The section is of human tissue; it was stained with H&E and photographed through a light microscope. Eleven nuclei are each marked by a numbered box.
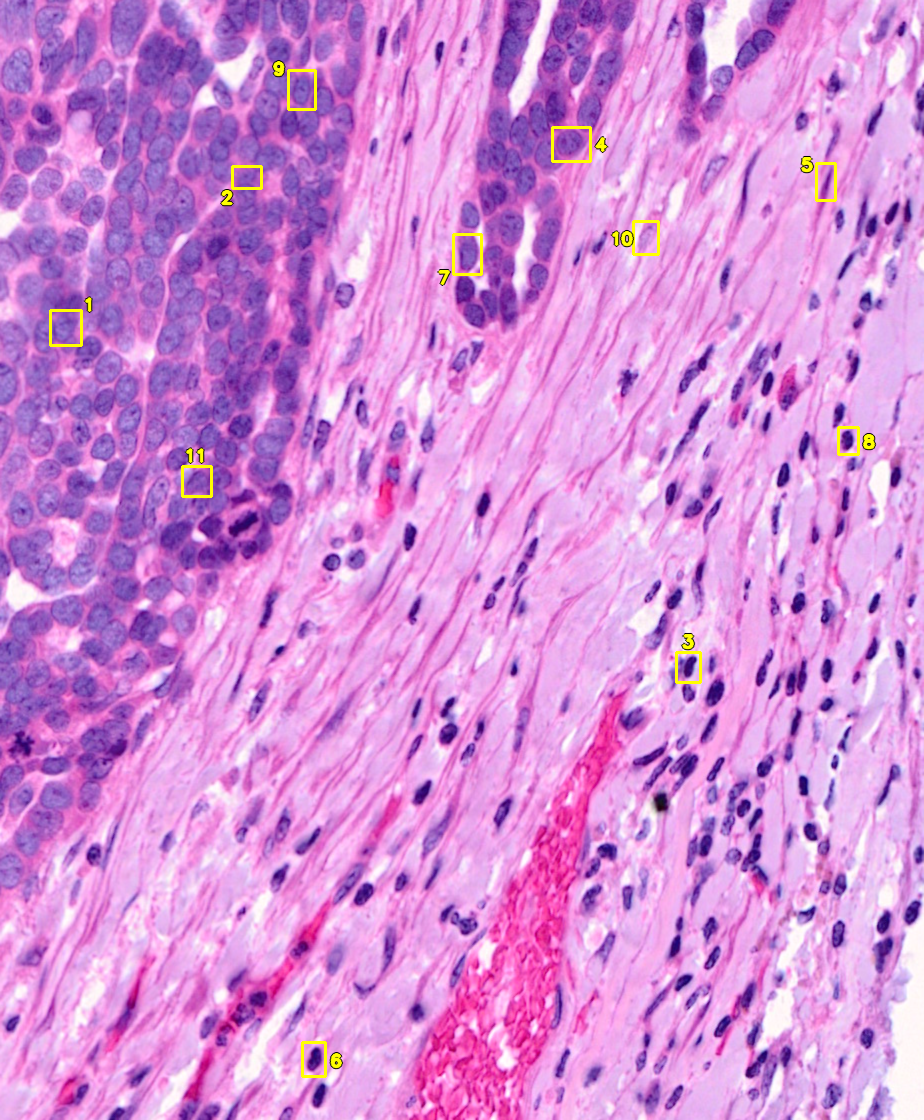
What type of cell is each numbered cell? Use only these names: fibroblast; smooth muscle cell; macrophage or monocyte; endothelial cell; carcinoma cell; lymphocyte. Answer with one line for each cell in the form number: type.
1: carcinoma cell
2: carcinoma cell
3: lymphocyte
4: carcinoma cell
5: fibroblast
6: lymphocyte
7: carcinoma cell
8: lymphocyte
9: carcinoma cell
10: fibroblast
11: carcinoma cell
